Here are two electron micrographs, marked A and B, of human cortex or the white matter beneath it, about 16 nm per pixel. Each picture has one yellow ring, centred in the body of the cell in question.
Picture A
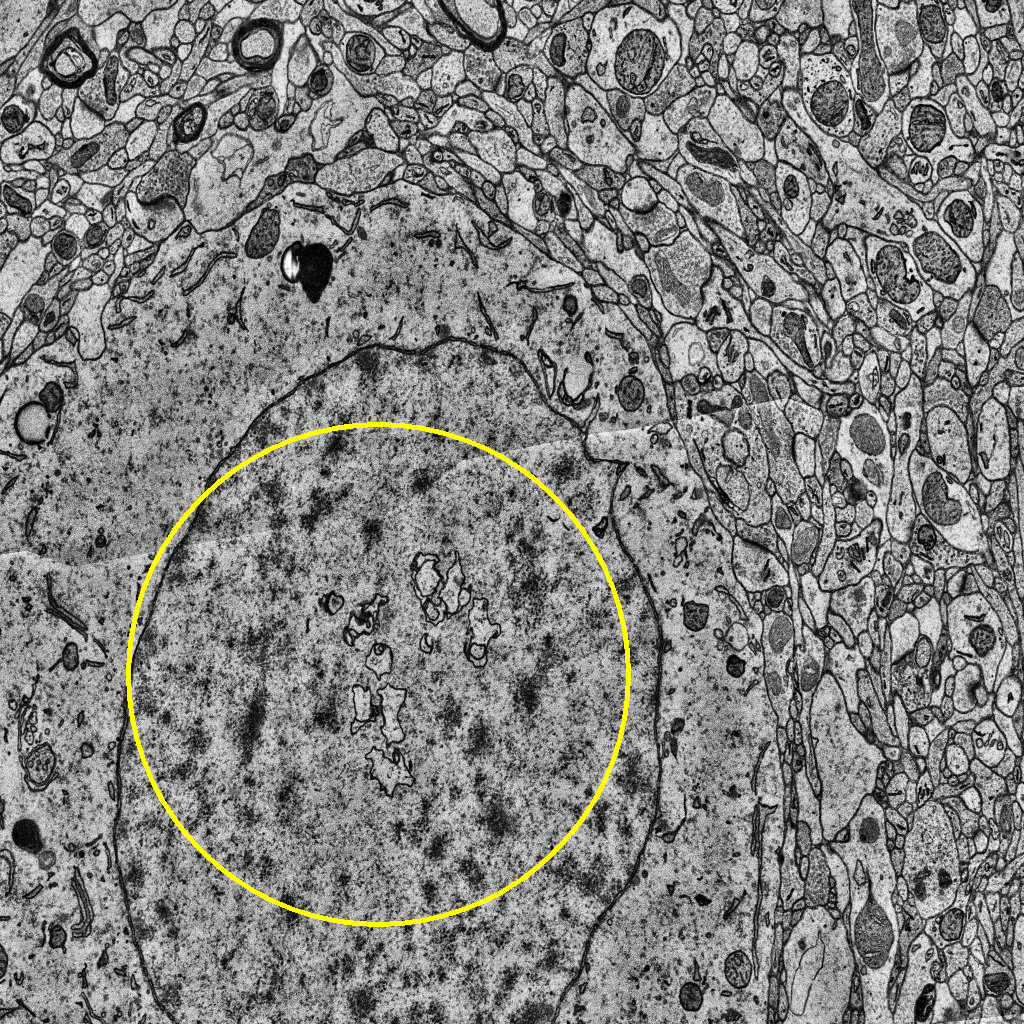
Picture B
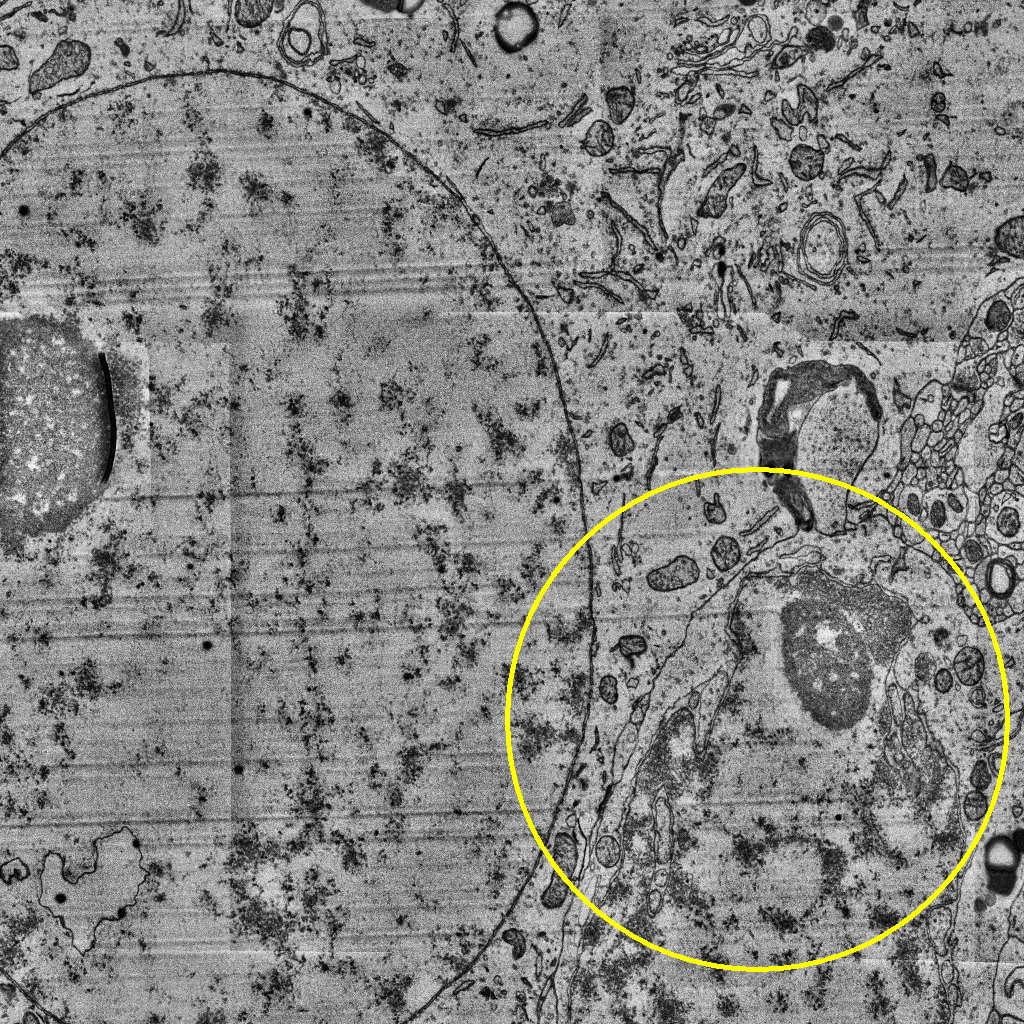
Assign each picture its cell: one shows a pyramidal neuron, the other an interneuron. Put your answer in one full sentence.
The cell in picture A is a pyramidal neuron, and the one in picture B is an interneuron.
